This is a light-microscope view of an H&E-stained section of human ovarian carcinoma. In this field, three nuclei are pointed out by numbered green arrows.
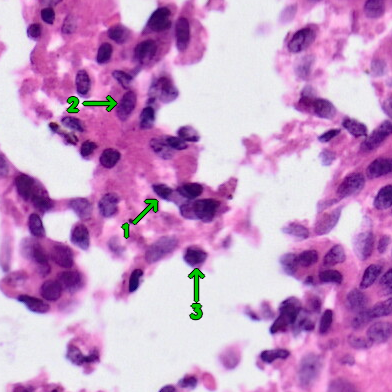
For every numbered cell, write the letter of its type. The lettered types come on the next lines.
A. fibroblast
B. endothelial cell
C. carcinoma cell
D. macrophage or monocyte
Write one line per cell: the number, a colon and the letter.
1: C
2: C
3: D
